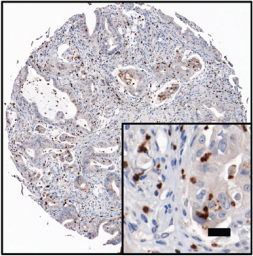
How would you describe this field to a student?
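A round tissue core of tumor with glandular structures and stroma is mostly blue with hematoxylin, with a faint tan tint in the tumor cells. Scattered across it are many small cells with compact dark brown staining. In the inset these brown cells are much smaller than the neighbouring tumor cells, which have large pale nuclei, and they lie singly or in small groups between them.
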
